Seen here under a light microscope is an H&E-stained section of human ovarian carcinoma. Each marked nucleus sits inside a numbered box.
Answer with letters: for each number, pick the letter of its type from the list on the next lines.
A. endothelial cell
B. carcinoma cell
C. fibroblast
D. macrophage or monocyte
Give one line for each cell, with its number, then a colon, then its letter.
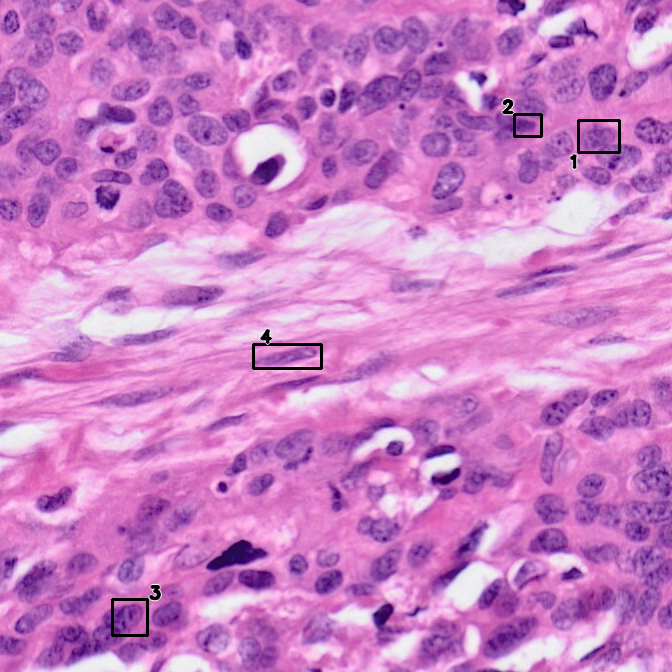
1: B
2: B
3: B
4: C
